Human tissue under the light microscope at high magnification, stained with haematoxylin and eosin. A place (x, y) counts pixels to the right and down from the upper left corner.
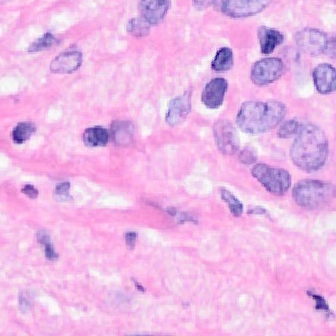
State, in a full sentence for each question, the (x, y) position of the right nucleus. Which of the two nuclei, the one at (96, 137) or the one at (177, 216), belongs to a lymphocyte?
Heads up, the nucleus at (96, 137) is the one that belongs to a lymphocyte.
